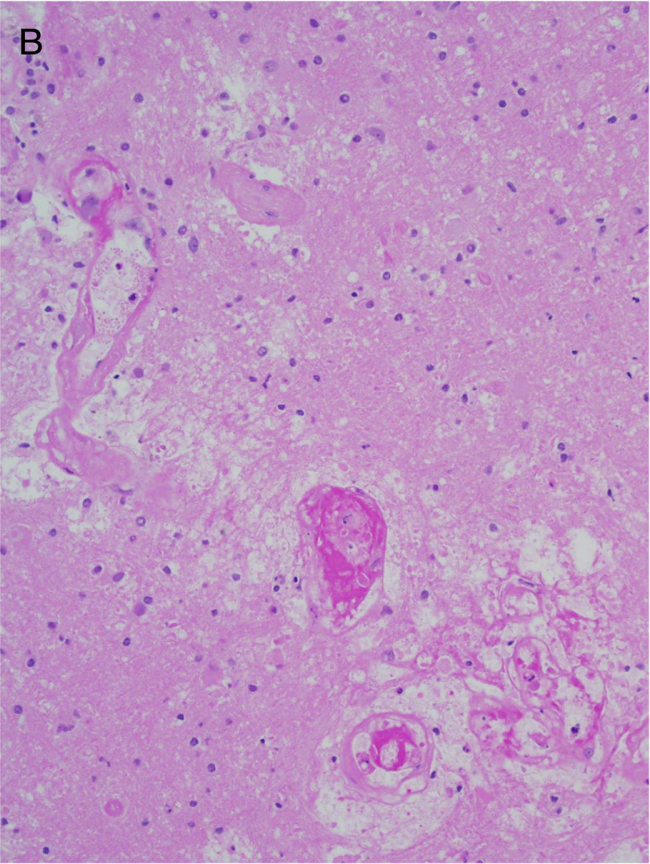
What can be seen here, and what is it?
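This is brain tissue in which a pale pink, finely fibrillary background is studded with scattered small, dark round to oval nuclei of glial cells, a picture of gliosis rather than a dense tumor. The cells are spread fairly evenly, without crowding, and some show a rim of pink cytoplasm. Along the left edge and lower right lie several blood vessels whose walls are markedly thickened, glassy and deep pink, the hallmark of hyalinized blood vessels. Their lumina are small compared with the thick walls. Around many of these vessels the tissue looks loosened and pale, with small clear spaces in the neuropil.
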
